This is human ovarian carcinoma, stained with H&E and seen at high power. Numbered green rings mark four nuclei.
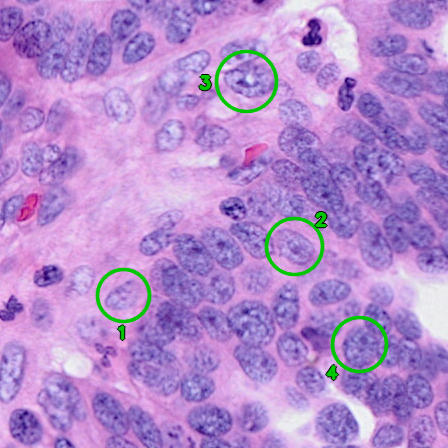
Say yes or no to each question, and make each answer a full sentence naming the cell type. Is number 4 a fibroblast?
No, cell 4 is a carcinoma cell, not a fibroblast.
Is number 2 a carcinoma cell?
Yes, in this section the cell with number 2 is a carcinoma cell.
